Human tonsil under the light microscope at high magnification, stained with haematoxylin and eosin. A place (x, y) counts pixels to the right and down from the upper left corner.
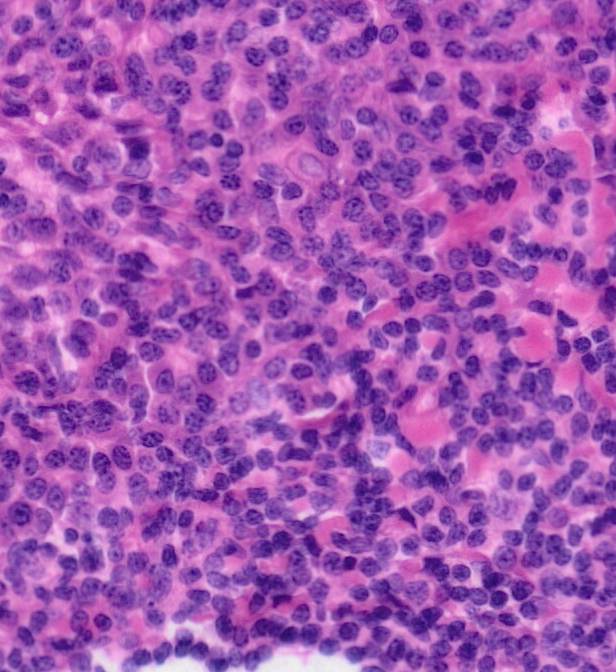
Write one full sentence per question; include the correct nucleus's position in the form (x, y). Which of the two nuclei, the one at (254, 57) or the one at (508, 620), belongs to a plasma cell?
The cell to which the nucleus at (254, 57) belongs is a plasma cell.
